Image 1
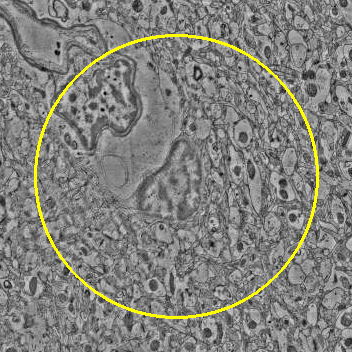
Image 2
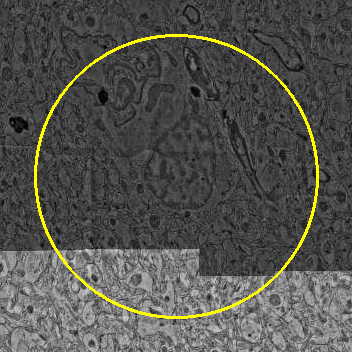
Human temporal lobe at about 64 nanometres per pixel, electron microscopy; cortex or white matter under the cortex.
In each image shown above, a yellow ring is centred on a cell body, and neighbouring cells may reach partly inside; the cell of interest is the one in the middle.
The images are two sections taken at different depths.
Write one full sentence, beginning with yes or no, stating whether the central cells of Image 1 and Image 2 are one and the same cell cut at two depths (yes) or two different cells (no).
Yes, the two rings mark one cell and not separate cells.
